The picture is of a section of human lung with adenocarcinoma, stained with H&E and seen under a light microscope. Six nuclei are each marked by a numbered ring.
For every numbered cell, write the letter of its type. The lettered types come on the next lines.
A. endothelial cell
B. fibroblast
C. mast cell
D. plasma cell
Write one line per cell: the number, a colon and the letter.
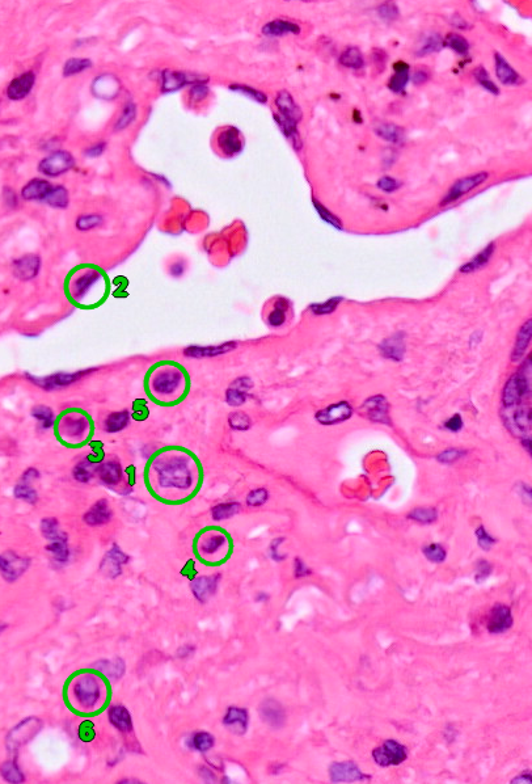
1: B
2: A
3: D
4: C
5: C
6: C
